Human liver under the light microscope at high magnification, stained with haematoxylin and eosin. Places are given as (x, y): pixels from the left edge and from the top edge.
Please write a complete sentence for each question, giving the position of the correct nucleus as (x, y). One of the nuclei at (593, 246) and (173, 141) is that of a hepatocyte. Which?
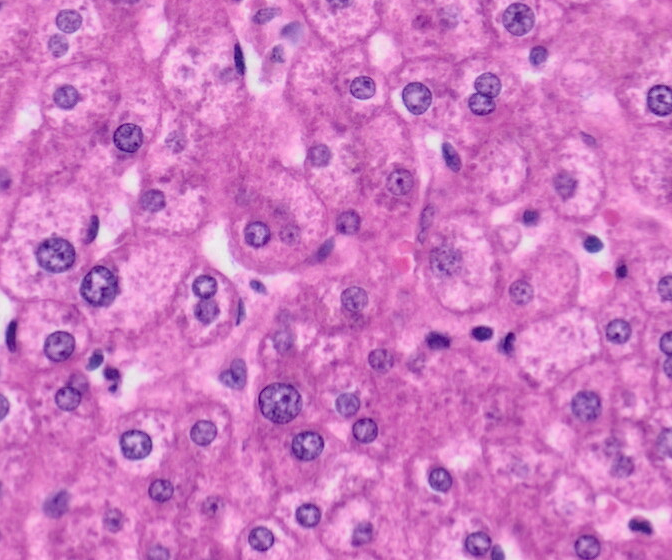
The nucleus whose cell is a hepatocyte is the one at (173, 141).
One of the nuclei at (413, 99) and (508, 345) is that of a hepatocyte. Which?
Of the pair, the nucleus located at (413, 99) belongs to a hepatocyte.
